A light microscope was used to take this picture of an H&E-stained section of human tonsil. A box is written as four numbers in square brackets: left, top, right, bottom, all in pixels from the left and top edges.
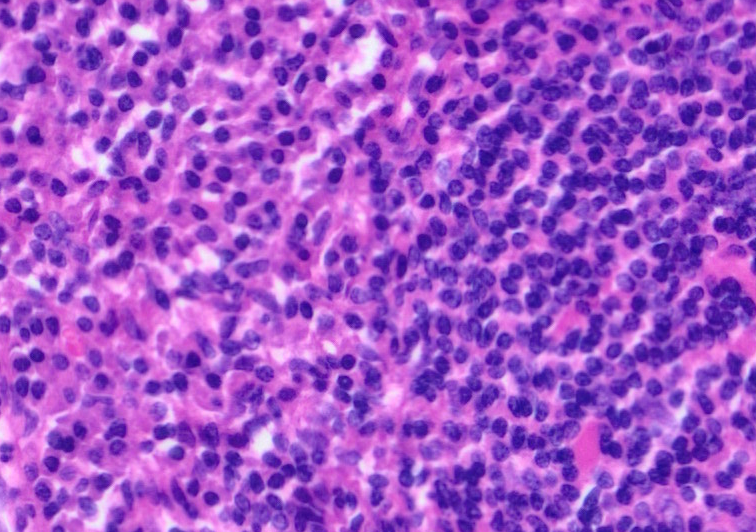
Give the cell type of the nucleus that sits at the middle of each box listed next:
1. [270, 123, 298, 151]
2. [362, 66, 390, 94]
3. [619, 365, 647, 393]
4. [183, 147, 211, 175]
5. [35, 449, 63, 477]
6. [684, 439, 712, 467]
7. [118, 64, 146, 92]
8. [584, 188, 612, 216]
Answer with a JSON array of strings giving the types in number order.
["plasma cell", "plasma cell", "small lymphocyte", "plasma cell", "plasma cell", "small lymphocyte", "plasma cell", "small lymphocyte"]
